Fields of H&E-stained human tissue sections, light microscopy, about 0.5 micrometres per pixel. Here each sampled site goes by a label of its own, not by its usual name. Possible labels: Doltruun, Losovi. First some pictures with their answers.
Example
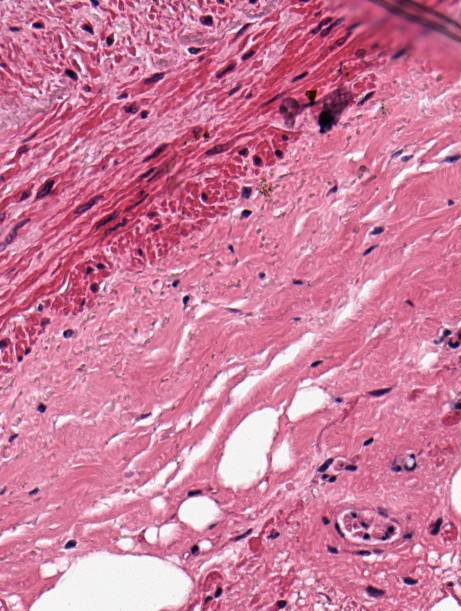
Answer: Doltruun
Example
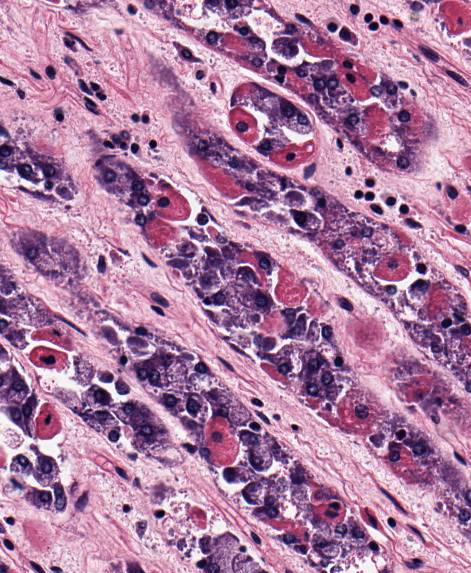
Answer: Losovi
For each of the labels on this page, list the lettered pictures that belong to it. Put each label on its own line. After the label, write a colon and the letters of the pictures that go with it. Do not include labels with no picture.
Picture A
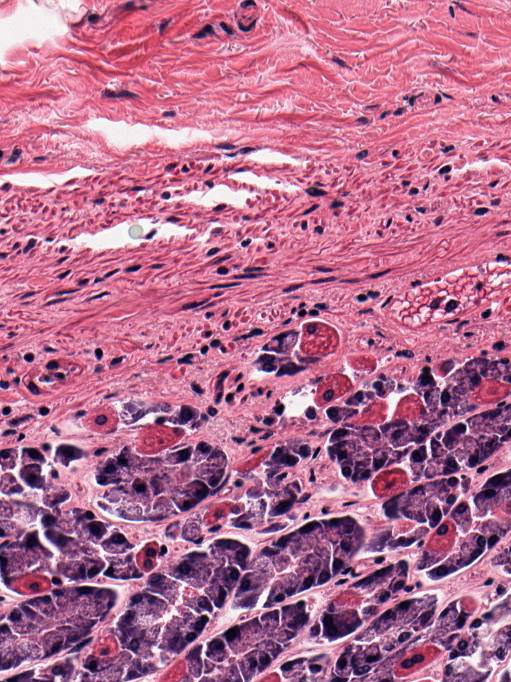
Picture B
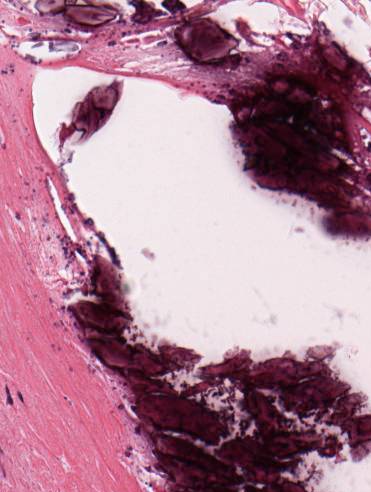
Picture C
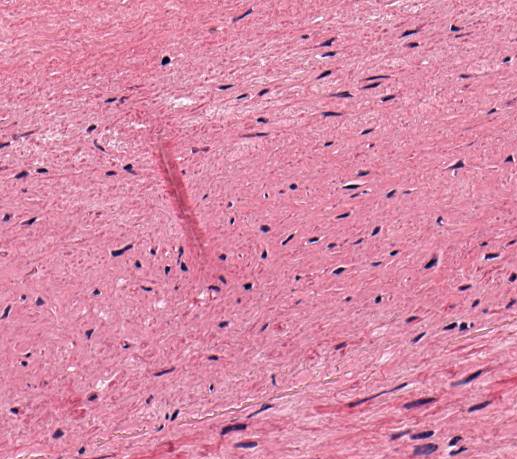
Doltruun: B, C
Losovi: A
